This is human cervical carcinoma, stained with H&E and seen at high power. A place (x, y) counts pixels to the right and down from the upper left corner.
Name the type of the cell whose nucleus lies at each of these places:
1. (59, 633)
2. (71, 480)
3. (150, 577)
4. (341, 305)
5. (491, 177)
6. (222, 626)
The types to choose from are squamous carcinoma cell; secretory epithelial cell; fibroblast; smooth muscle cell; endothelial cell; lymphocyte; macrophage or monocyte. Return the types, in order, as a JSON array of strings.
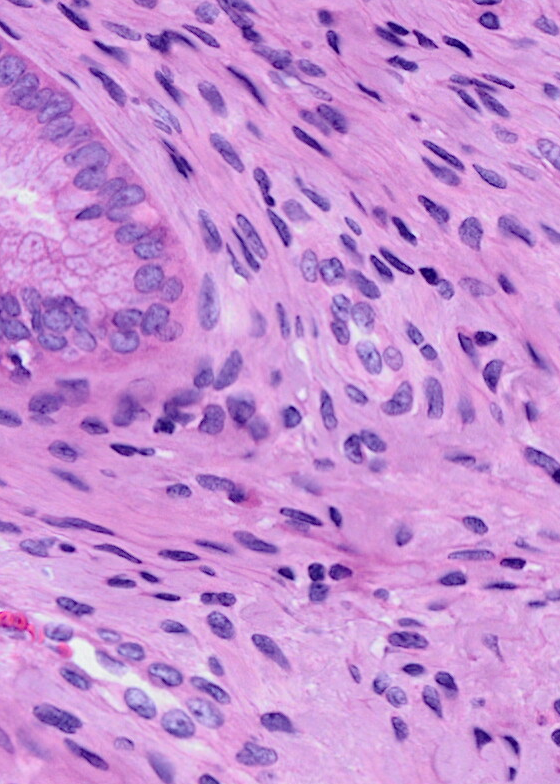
["endothelial cell", "fibroblast", "fibroblast", "endothelial cell", "fibroblast", "fibroblast"]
